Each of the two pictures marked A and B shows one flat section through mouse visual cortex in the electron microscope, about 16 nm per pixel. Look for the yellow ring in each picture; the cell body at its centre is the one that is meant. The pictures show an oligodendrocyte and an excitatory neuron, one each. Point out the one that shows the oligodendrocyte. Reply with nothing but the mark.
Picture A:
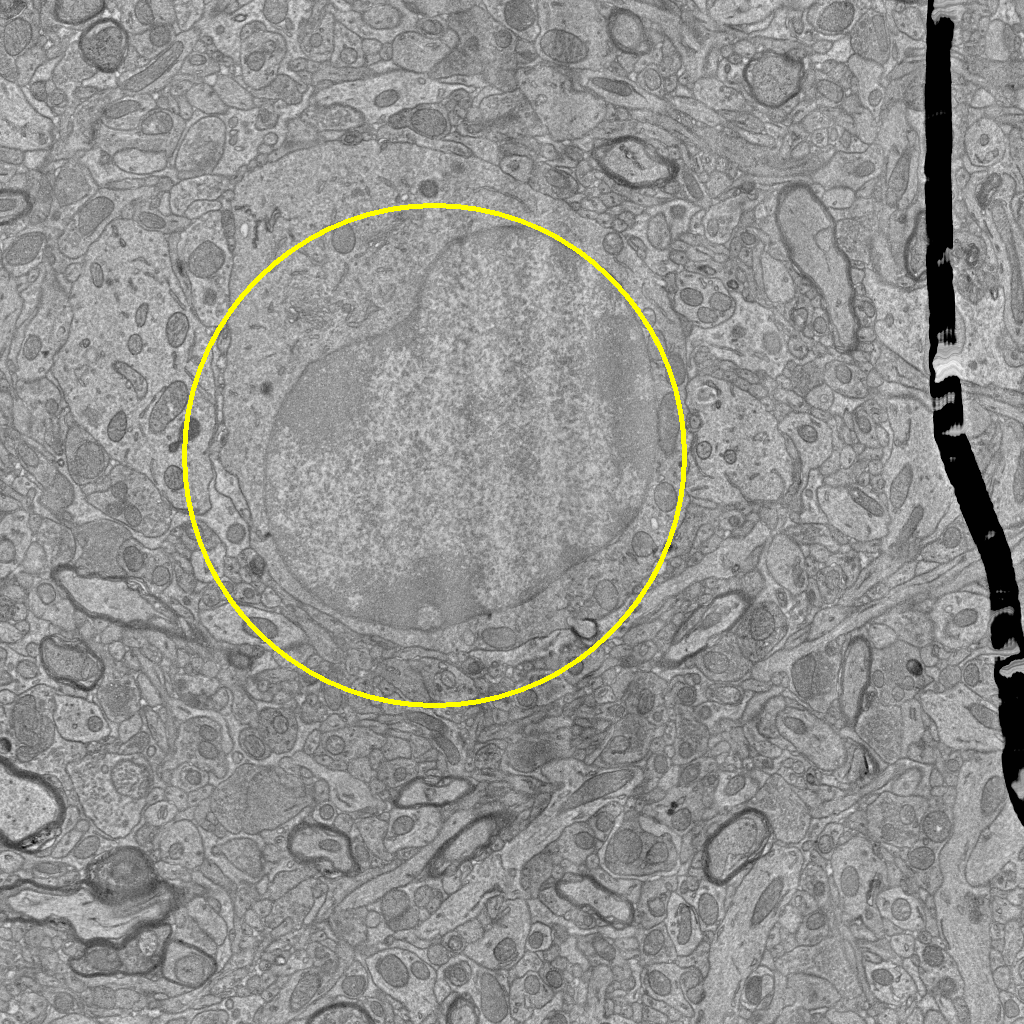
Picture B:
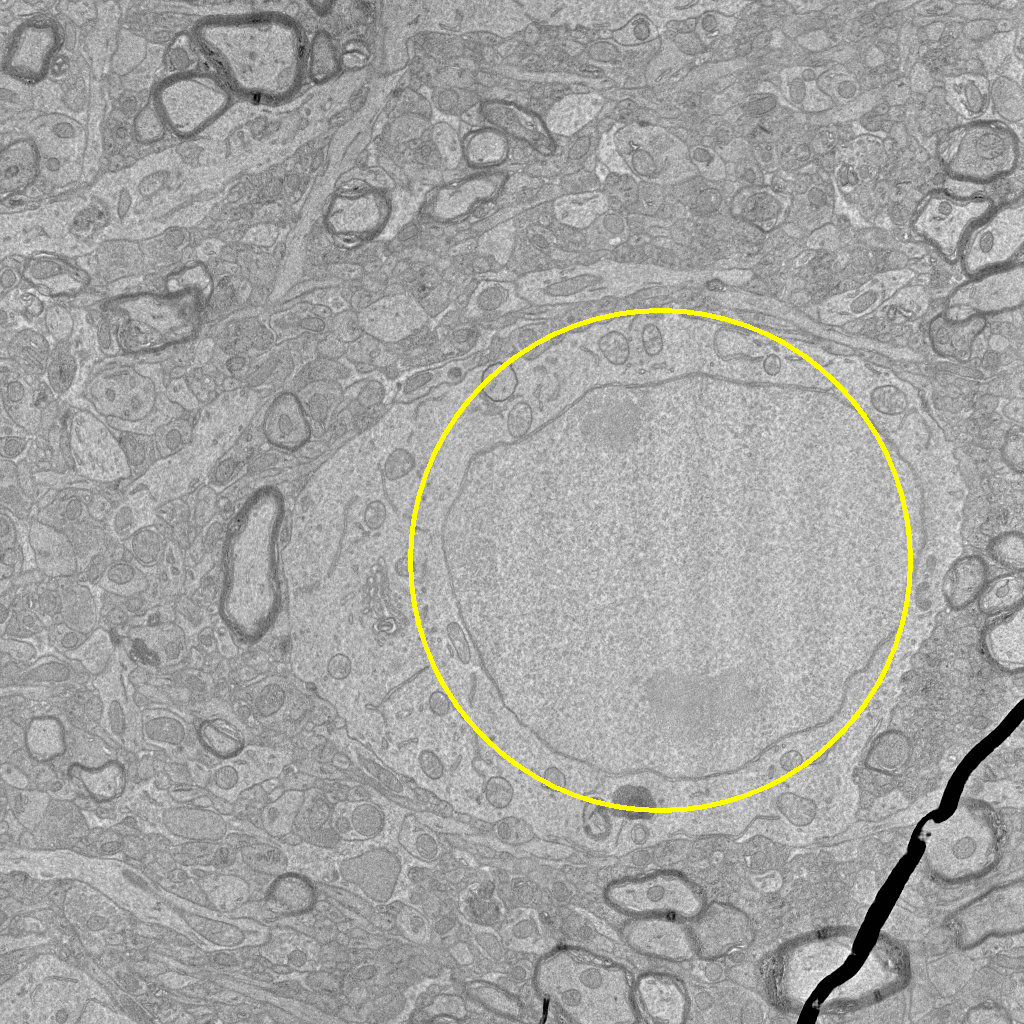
A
